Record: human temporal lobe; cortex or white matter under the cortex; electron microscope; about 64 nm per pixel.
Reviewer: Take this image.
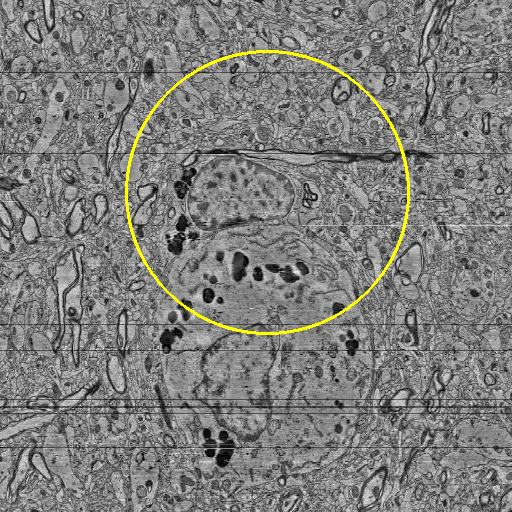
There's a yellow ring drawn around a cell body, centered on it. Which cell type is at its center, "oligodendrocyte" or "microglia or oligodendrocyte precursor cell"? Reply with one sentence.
At the center of the yellow ring is a microglial cell or oligodendrocyte precursor cell.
